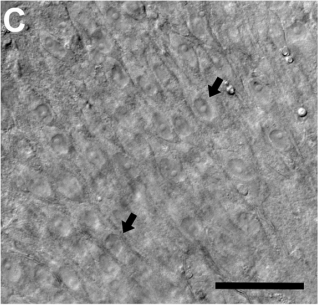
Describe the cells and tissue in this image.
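The cell bodies appear as rounded to somewhat triangular outlines, many with a visible central nucleus, set close together across the field. Fine linear structures, likely processes, run between them in roughly parallel lines. The relief gives the cells a raised, three-dimensional look rather than a coloured stain. A few small bright round particles lie scattered on the surface. Overall the tissue looks crowded and orderly, with cells of similar size repeating over the whole area.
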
